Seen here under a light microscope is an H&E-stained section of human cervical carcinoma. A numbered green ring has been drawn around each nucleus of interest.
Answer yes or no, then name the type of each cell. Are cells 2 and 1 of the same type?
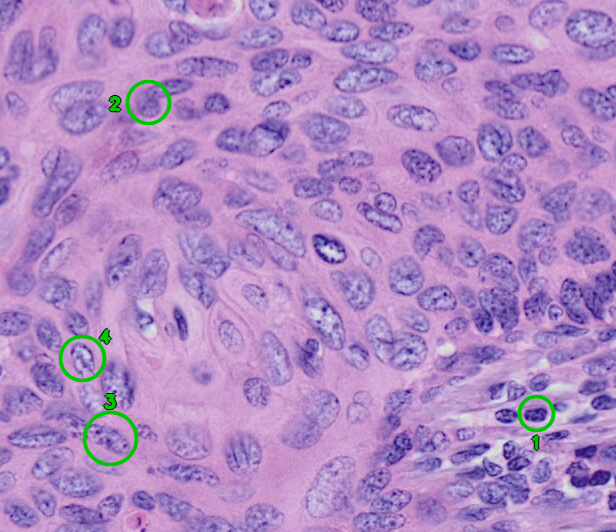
No, cell 2 is a squamous carcinoma cell and cell 1 is a lymphocyte.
